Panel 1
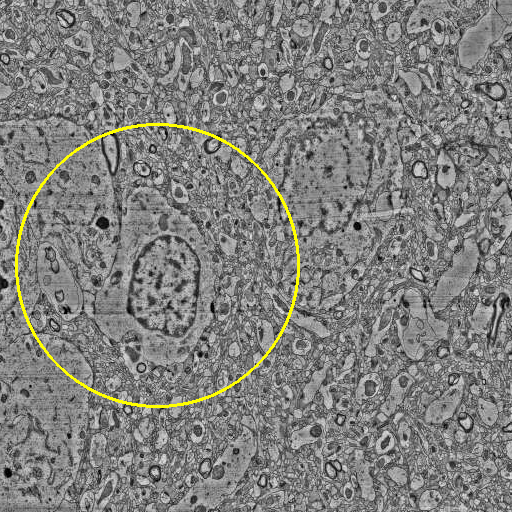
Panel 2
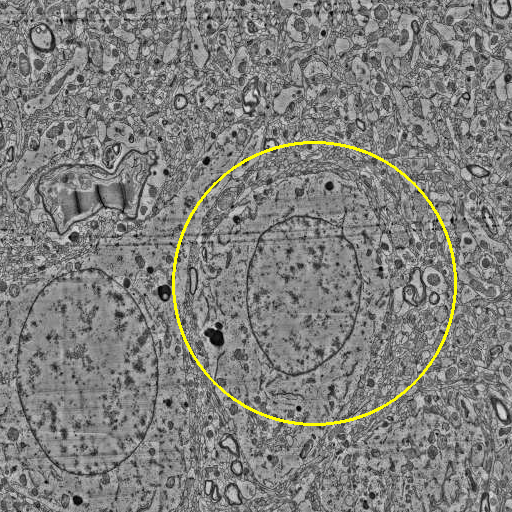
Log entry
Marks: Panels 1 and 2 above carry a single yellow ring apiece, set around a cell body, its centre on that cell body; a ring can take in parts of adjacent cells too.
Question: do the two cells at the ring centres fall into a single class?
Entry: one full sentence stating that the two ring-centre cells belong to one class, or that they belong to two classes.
The two ring-centre cells in Panels 1 and 2 belong to two classes.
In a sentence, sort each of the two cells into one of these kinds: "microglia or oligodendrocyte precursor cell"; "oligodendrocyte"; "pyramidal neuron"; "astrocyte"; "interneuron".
The first of the two cells is a microglial cell or oligodendrocyte precursor cell, and the second is a pyramidal neuron.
